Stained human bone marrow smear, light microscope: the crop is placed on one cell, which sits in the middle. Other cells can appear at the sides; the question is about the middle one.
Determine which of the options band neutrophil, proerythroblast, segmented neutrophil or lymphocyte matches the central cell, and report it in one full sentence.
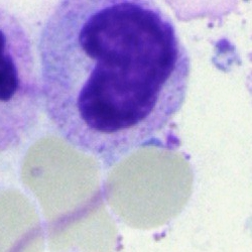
The cell occupying the middle of the crop is a band neutrophil.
